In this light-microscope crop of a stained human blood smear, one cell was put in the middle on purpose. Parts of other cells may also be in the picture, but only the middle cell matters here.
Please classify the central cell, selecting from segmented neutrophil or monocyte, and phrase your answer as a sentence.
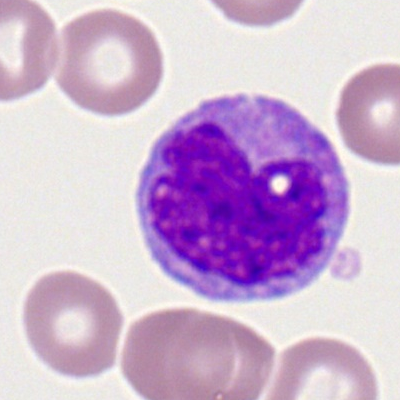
The cell featured at the centre of this crop is a monocyte.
